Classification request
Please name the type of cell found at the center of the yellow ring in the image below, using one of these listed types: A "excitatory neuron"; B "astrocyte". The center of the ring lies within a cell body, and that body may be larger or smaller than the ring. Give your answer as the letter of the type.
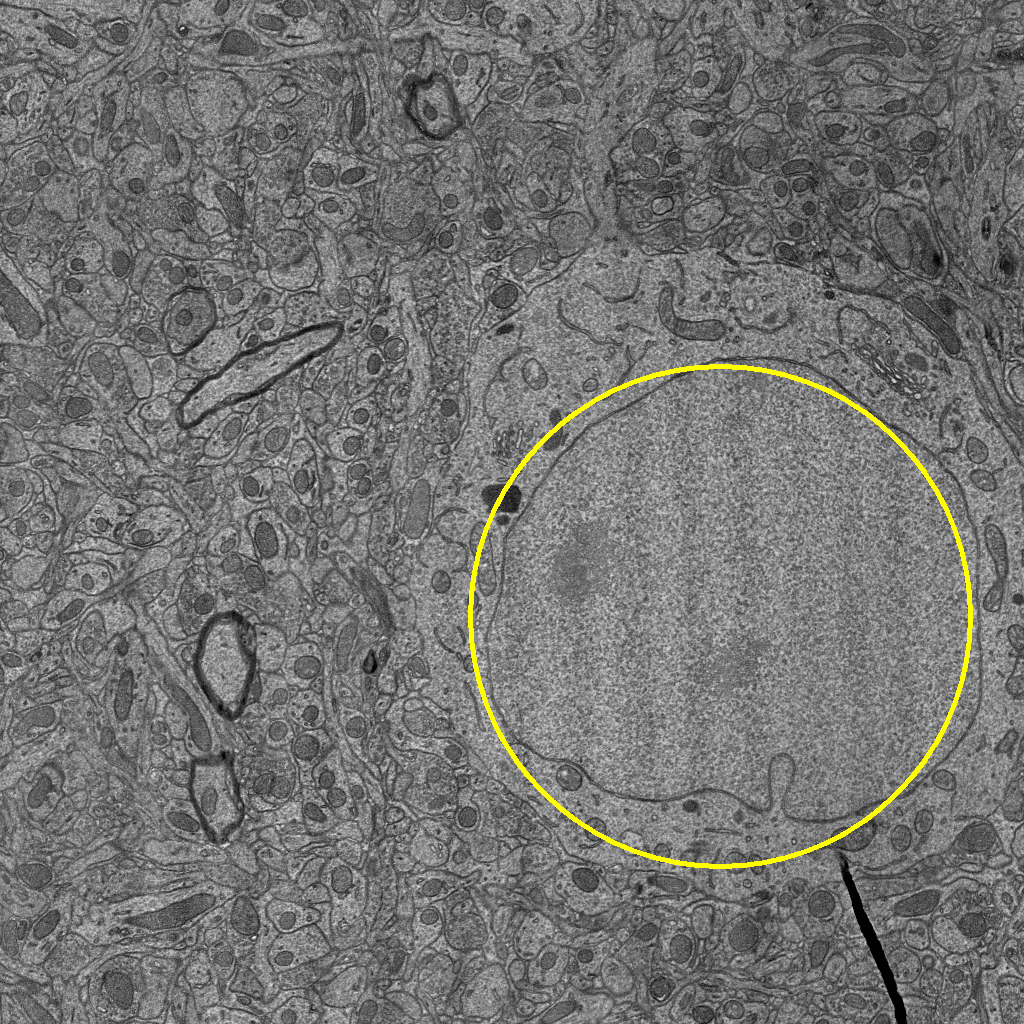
A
